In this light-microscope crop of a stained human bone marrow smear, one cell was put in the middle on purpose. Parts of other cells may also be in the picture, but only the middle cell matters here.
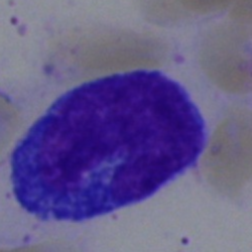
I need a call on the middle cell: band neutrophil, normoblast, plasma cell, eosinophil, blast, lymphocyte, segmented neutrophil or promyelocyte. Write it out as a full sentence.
The centered cell in this crop is a promyelocyte.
